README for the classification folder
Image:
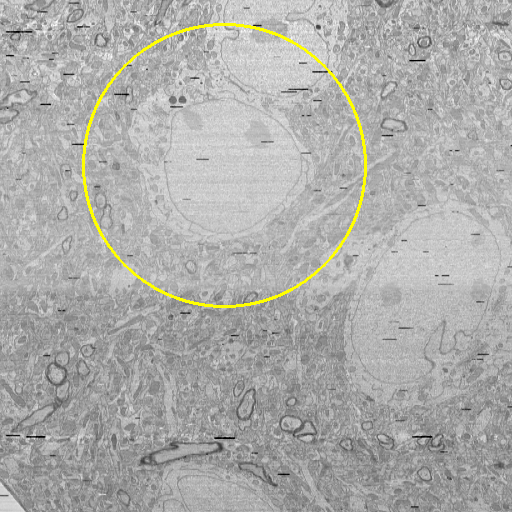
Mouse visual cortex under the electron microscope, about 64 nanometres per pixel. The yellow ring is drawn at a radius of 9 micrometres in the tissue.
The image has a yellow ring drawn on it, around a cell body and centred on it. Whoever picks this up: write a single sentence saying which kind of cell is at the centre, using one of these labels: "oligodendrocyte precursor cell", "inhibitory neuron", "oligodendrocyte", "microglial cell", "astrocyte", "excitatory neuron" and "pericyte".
This cell body is that of an excitatory neuron.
